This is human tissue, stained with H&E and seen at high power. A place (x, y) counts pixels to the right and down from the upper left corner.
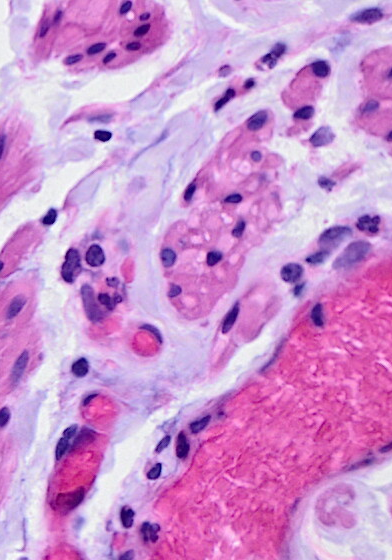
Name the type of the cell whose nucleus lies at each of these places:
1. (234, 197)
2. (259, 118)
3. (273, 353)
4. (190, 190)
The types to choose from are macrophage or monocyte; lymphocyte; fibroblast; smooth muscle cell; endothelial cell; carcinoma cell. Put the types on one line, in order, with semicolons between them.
smooth muscle cell; smooth muscle cell; endothelial cell; smooth muscle cell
